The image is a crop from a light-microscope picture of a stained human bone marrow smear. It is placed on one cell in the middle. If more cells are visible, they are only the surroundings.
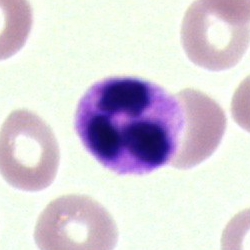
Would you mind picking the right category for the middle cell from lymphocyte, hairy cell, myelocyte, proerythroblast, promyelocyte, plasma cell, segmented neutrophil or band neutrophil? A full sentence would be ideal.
What sits at the centre of this crop is a segmented neutrophil.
